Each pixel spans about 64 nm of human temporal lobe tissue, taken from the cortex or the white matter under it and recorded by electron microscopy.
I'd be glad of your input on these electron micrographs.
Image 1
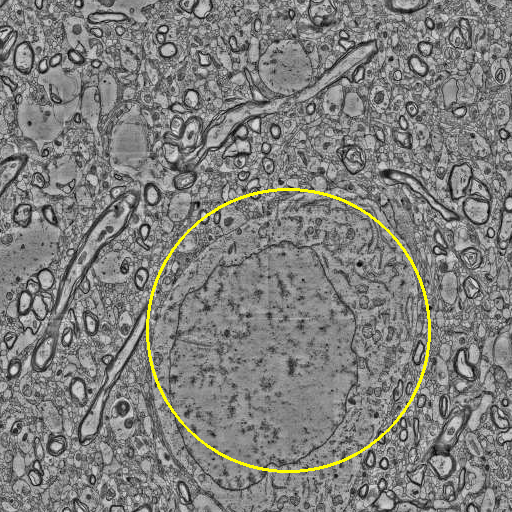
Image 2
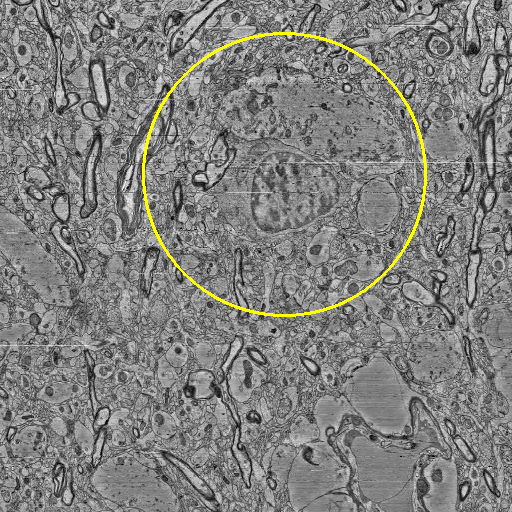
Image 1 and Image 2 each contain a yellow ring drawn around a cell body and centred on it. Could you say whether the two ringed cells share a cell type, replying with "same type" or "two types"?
two types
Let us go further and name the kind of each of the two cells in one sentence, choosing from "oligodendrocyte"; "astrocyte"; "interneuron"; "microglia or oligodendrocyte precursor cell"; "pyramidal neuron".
The ring of the first picture is on a pyramidal neuron, the ring of the second on an oligodendrocyte.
